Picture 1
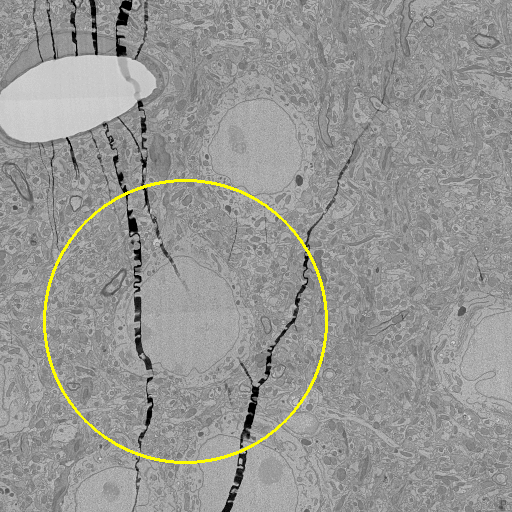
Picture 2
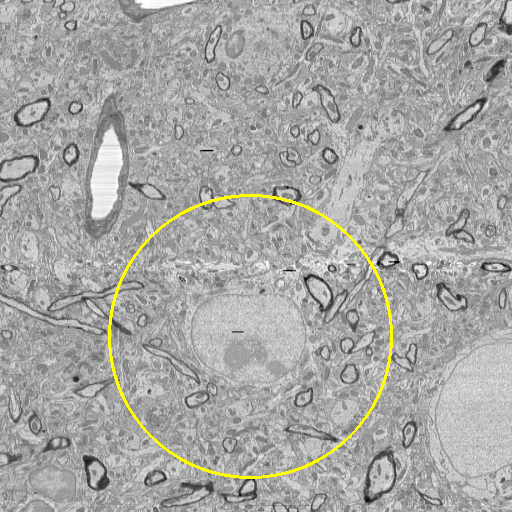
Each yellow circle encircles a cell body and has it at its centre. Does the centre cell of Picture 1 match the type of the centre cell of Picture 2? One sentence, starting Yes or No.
No, the cell centred in Picture 1 and the one in Picture 2 have separate types.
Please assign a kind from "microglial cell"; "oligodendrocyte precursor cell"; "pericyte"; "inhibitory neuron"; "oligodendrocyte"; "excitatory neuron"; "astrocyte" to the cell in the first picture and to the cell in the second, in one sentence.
In the first picture we have an excitatory neuron, and in the second, an astrocyte.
